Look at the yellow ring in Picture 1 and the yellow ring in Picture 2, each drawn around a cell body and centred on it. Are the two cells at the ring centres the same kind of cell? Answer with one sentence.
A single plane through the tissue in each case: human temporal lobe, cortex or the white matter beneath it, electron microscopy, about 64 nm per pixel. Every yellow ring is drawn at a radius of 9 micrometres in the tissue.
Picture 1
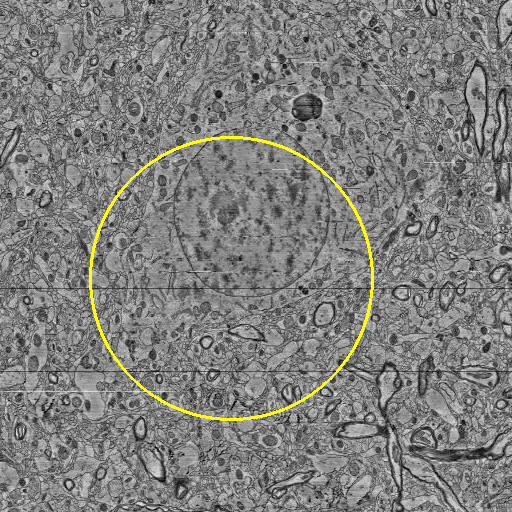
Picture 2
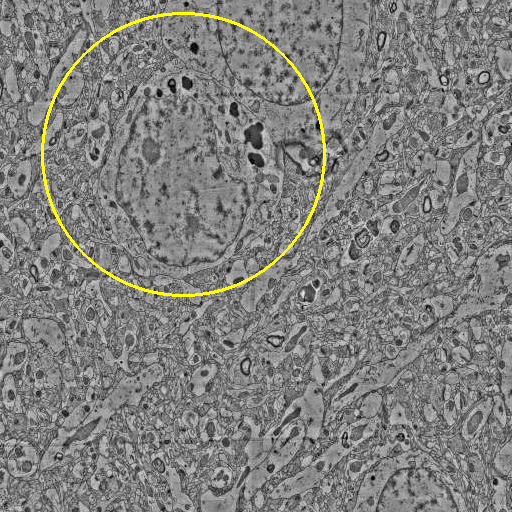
Yes, both are the same kind of cell.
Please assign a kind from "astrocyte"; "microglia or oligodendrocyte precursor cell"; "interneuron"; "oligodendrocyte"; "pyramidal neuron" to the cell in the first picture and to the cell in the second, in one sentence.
In each of the two pictures, the ringed cell is an interneuron.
